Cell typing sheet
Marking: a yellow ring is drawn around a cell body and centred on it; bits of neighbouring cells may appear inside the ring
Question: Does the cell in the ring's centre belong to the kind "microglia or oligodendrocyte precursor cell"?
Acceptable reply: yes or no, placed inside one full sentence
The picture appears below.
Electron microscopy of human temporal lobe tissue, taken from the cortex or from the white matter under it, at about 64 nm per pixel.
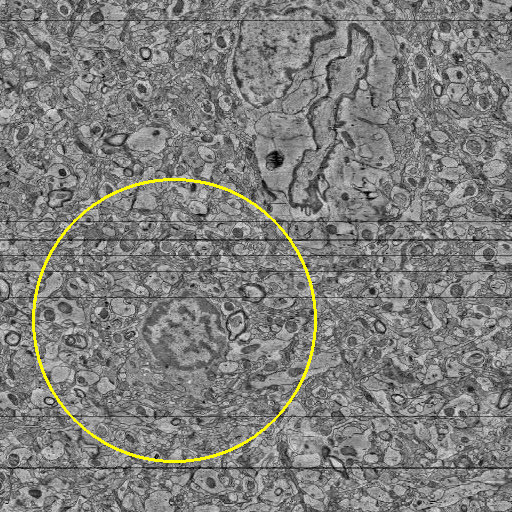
No, the cell at the centre of the ring belongs to a different kind.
